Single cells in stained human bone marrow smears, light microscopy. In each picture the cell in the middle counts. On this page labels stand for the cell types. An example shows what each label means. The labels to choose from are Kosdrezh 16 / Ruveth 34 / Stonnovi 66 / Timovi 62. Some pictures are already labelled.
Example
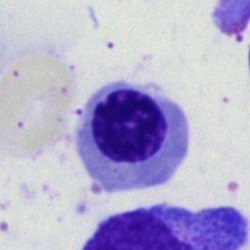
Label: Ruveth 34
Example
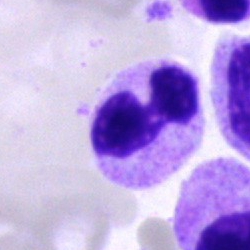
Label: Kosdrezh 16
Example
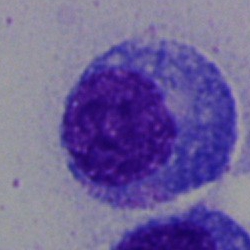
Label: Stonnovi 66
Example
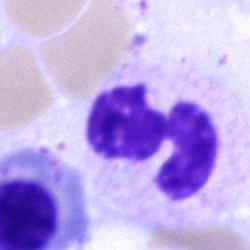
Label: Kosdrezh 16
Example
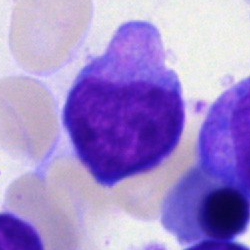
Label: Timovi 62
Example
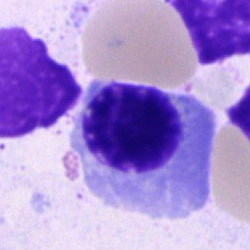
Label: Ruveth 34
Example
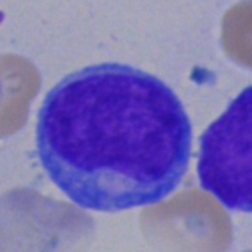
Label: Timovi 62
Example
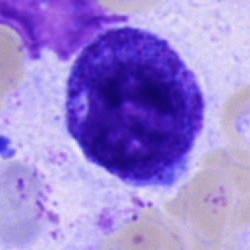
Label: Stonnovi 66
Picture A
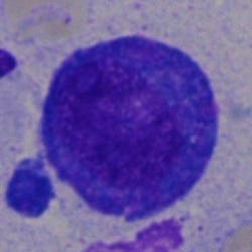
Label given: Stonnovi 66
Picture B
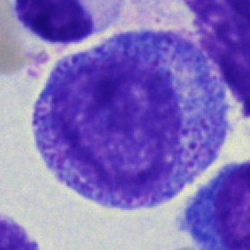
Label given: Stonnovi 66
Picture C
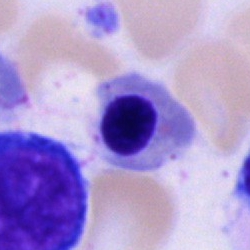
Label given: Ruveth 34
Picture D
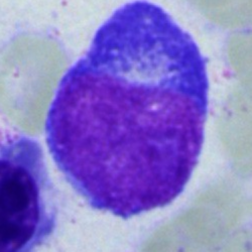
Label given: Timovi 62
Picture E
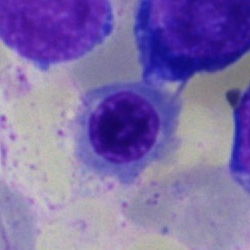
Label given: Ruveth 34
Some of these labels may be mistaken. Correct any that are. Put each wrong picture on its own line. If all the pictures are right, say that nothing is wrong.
All correct.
